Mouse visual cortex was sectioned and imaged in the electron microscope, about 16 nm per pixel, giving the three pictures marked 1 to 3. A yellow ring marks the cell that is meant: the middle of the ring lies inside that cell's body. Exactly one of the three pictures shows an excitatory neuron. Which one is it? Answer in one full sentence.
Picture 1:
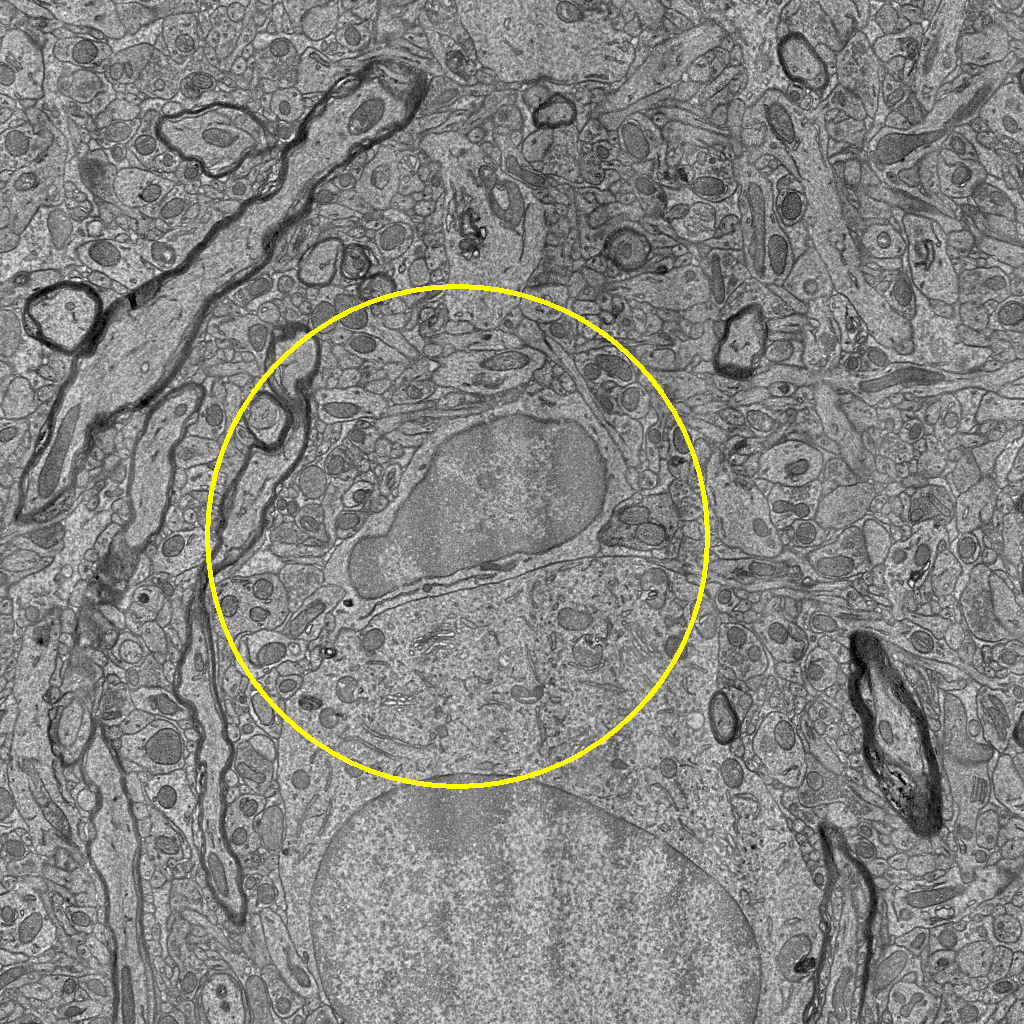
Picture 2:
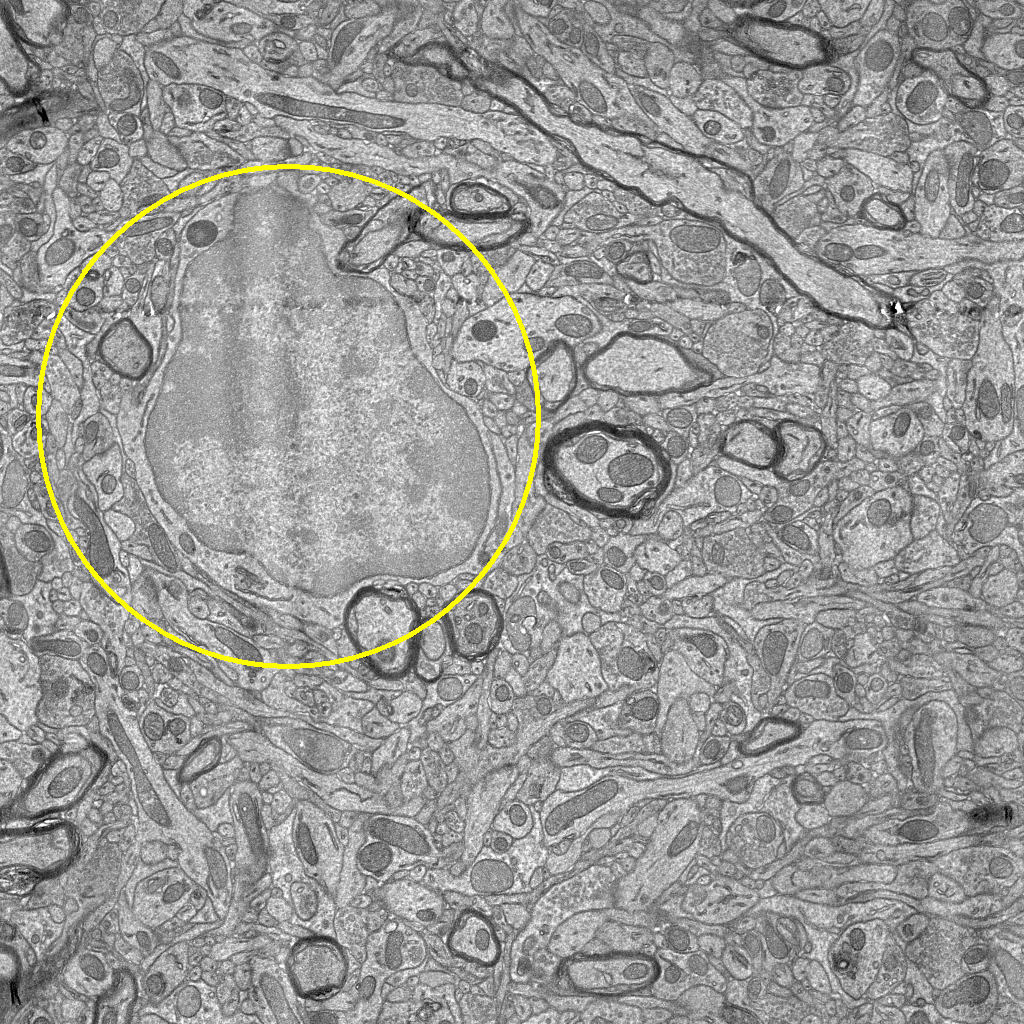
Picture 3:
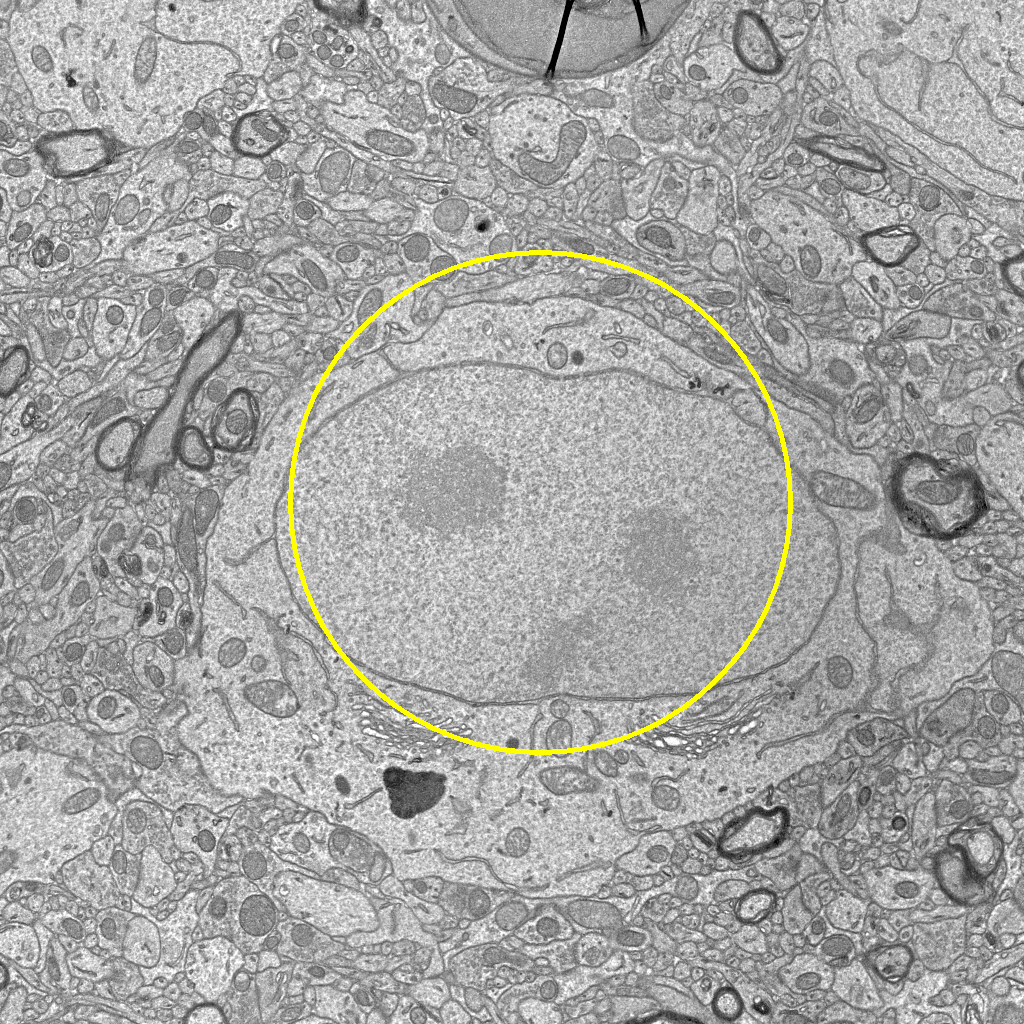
Picture 3 shows the excitatory neuron.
